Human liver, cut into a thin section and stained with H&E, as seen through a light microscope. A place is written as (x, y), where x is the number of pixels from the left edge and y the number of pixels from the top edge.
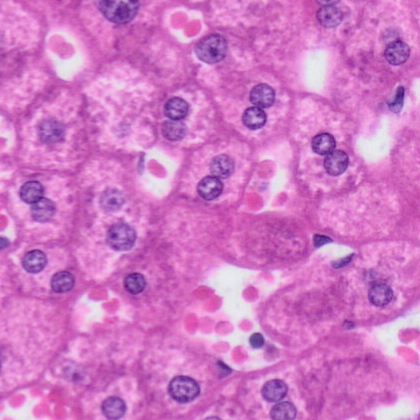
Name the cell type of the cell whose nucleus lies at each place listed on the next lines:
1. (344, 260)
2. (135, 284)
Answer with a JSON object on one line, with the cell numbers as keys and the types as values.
{"1": "endothelial cell", "2": "hepatocyte"}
